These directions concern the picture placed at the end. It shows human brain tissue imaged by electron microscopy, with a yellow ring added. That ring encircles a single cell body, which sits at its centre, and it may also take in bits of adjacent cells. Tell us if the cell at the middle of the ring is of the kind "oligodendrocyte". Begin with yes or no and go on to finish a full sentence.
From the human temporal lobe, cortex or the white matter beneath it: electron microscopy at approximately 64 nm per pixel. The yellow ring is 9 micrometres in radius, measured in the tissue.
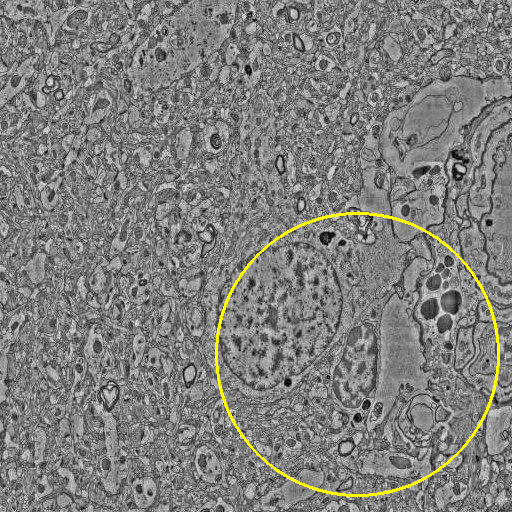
No, the cell sitting at the centre of the yellow ring in the picture belongs to another kind.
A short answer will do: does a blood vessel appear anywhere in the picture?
Yes, the picture includes a blood vessel.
